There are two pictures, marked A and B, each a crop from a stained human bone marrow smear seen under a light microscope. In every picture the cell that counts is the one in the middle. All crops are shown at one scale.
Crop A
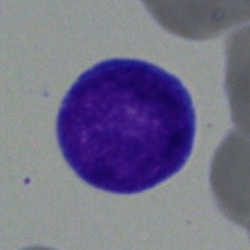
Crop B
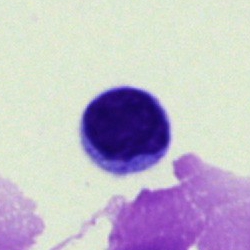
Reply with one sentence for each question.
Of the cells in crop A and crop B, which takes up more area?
Larger is the cell in crop A, at roughly 2.5 times the area of the other.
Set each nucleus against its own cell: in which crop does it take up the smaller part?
It is the cell in crop B that is filled less by its nucleus.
